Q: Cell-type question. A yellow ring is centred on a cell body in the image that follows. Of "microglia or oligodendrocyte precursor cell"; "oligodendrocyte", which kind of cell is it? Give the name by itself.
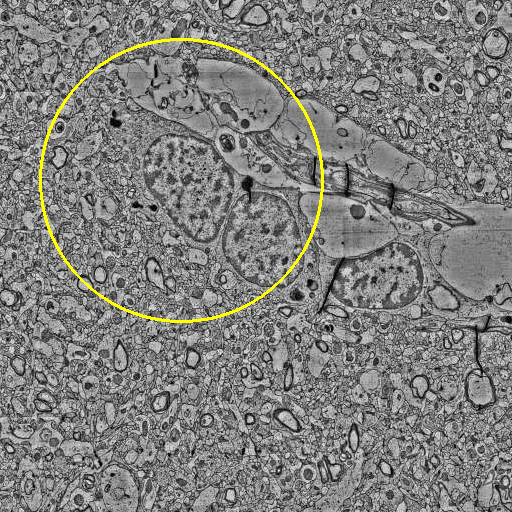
oligodendrocyte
